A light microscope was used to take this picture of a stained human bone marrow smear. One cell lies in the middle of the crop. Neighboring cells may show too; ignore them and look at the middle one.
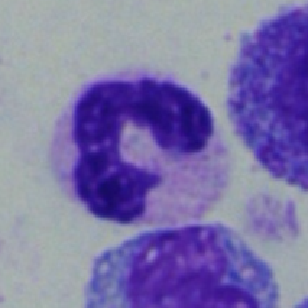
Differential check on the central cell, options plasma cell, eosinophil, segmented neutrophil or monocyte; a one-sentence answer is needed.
The center cell of this crop is a segmented neutrophil.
